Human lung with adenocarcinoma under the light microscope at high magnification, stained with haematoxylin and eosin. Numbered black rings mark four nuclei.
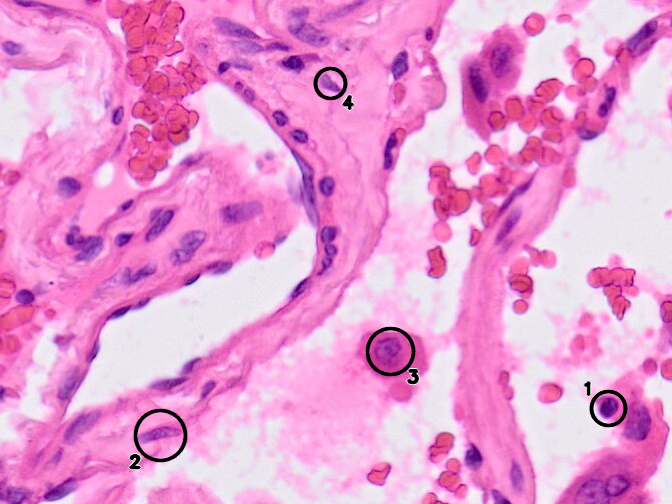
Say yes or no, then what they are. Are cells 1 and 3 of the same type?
No, cell 1 is a lymphocyte, and cell 3, in contrast, is a macrophage or monocyte.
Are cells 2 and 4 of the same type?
No, the cell numbered 2 is a smooth muscle cell or pericyte, and the cell numbered 4 is a fibroblast.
